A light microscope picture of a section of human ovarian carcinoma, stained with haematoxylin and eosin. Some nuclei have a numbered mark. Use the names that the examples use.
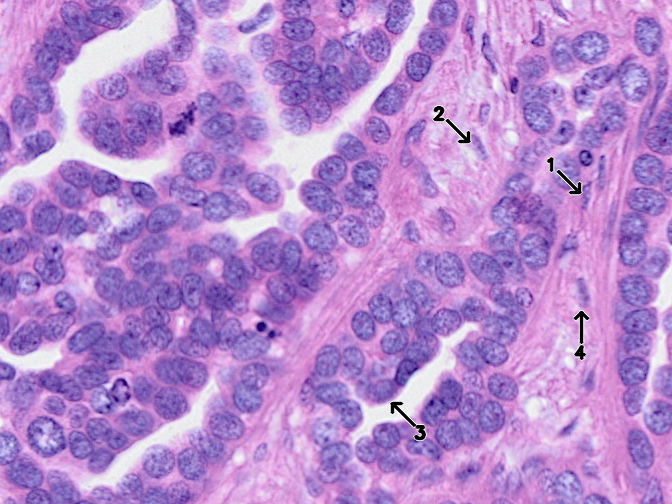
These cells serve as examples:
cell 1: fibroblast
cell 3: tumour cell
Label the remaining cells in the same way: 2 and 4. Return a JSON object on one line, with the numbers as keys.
{"2": "fibroblast", "4": "fibroblast"}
